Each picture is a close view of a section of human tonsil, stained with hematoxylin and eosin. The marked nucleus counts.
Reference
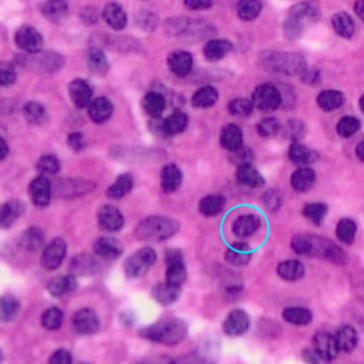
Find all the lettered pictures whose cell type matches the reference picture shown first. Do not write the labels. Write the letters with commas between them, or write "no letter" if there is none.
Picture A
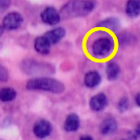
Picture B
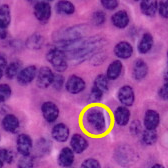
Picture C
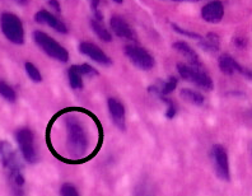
A, B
